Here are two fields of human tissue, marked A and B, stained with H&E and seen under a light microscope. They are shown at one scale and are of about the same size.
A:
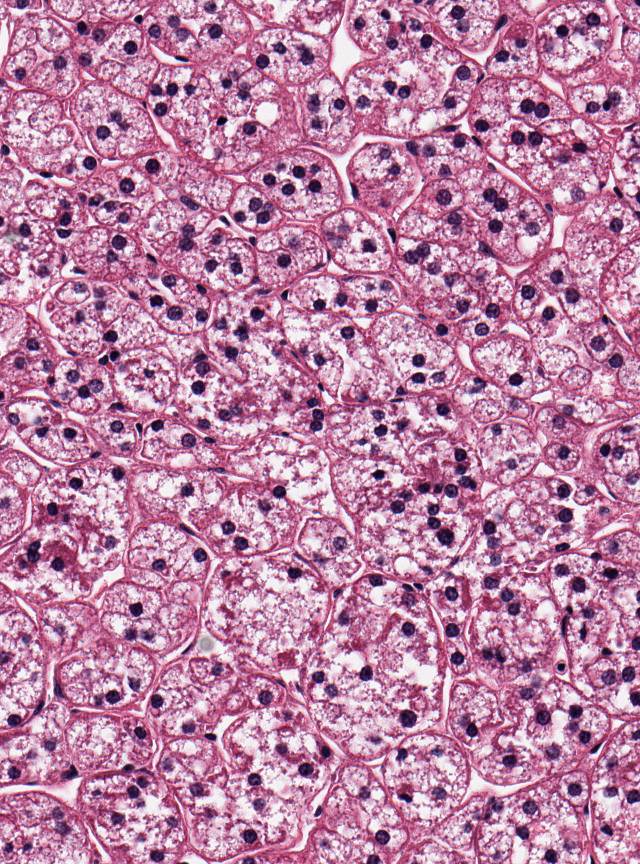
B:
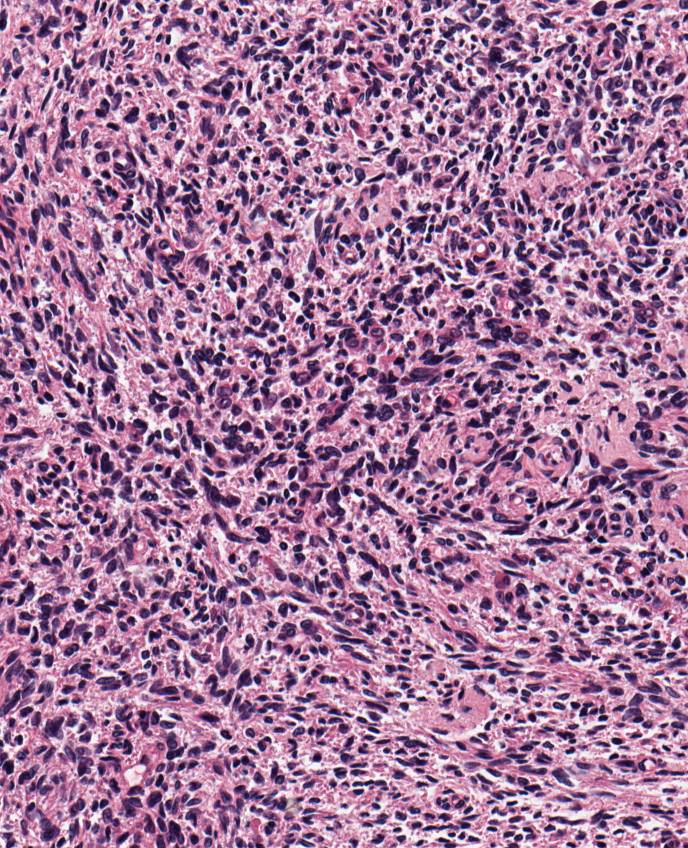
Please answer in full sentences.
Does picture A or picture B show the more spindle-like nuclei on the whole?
On the whole the nuclei of picture B are more drawn out than those of picture A.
